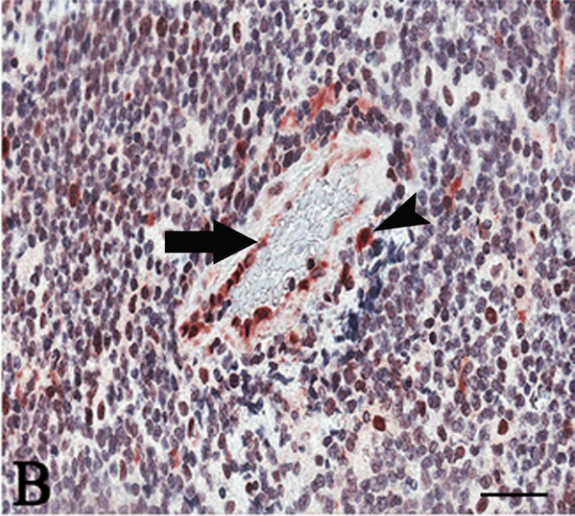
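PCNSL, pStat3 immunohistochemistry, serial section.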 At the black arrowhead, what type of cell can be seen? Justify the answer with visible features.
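The arrowhead points at a rounded, darkly stained nucleus just outside the vessel wall. Densely packed round cells surround the vessel. On this evidence: tumor perivascular cells.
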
